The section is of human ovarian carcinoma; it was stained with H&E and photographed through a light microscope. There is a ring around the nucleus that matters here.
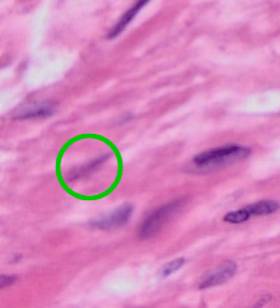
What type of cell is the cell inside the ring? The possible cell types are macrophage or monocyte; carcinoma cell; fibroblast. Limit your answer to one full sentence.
In terms of identity, the cell inside the ring is a fibroblast.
